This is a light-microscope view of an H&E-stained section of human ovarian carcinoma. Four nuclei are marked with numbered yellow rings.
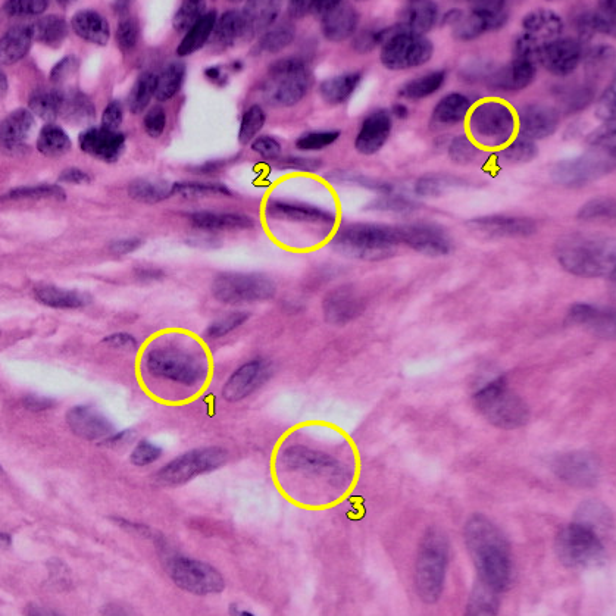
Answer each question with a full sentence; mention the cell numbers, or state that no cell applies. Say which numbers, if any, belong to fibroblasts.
The cells tagged with numbers 1, 2 and 3 are fibroblasts.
